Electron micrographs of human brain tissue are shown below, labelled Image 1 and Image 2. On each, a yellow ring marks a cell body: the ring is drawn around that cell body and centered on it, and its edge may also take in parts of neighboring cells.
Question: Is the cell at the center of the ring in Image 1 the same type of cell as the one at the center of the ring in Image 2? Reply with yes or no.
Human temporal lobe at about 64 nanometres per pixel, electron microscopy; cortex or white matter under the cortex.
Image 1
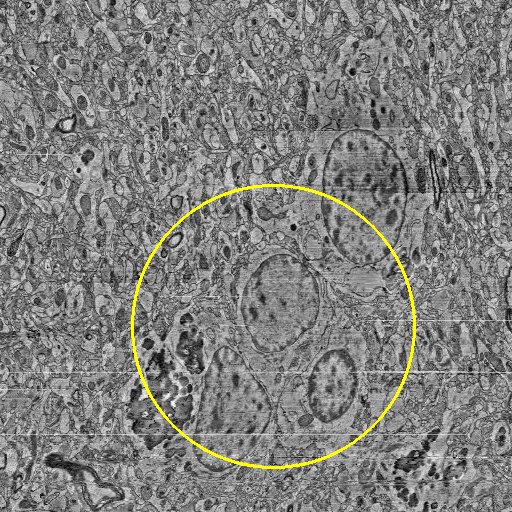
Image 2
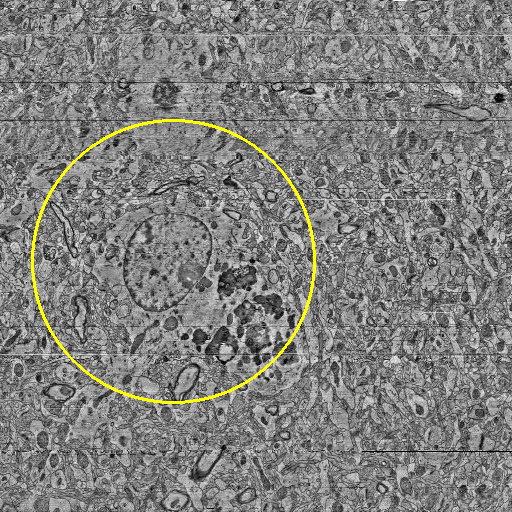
no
